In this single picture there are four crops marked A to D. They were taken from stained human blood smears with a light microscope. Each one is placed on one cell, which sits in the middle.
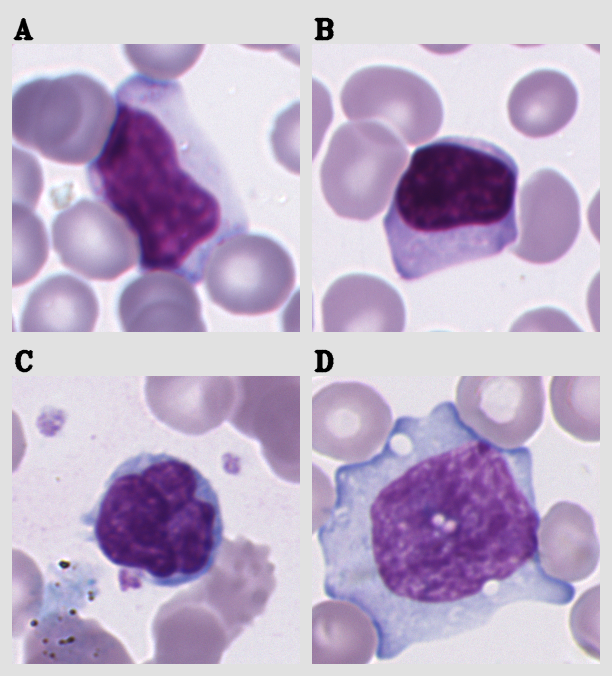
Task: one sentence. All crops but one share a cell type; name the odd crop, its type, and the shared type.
Only crop D differs, being a myeloblast, while the others all show typical lymphocytes.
